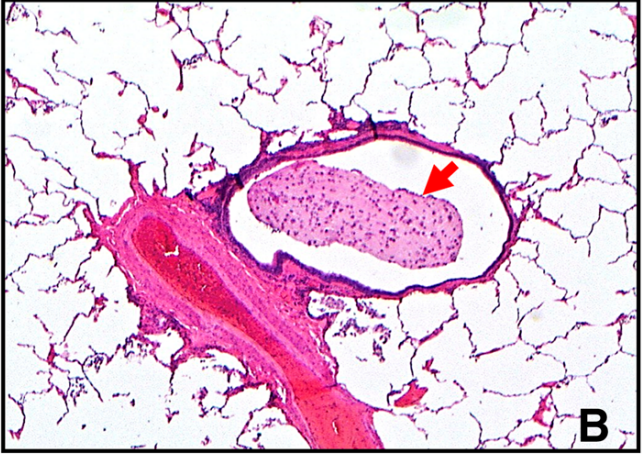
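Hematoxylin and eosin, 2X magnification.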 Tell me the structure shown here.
bronchiolevascular bundle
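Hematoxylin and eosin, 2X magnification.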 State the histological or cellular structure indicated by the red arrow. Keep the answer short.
Intra-luminal mucous plug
